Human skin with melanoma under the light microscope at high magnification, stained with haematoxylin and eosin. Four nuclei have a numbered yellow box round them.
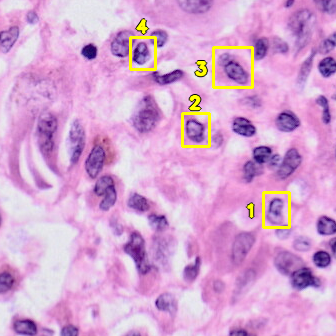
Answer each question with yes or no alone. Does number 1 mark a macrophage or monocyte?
no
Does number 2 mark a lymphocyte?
no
